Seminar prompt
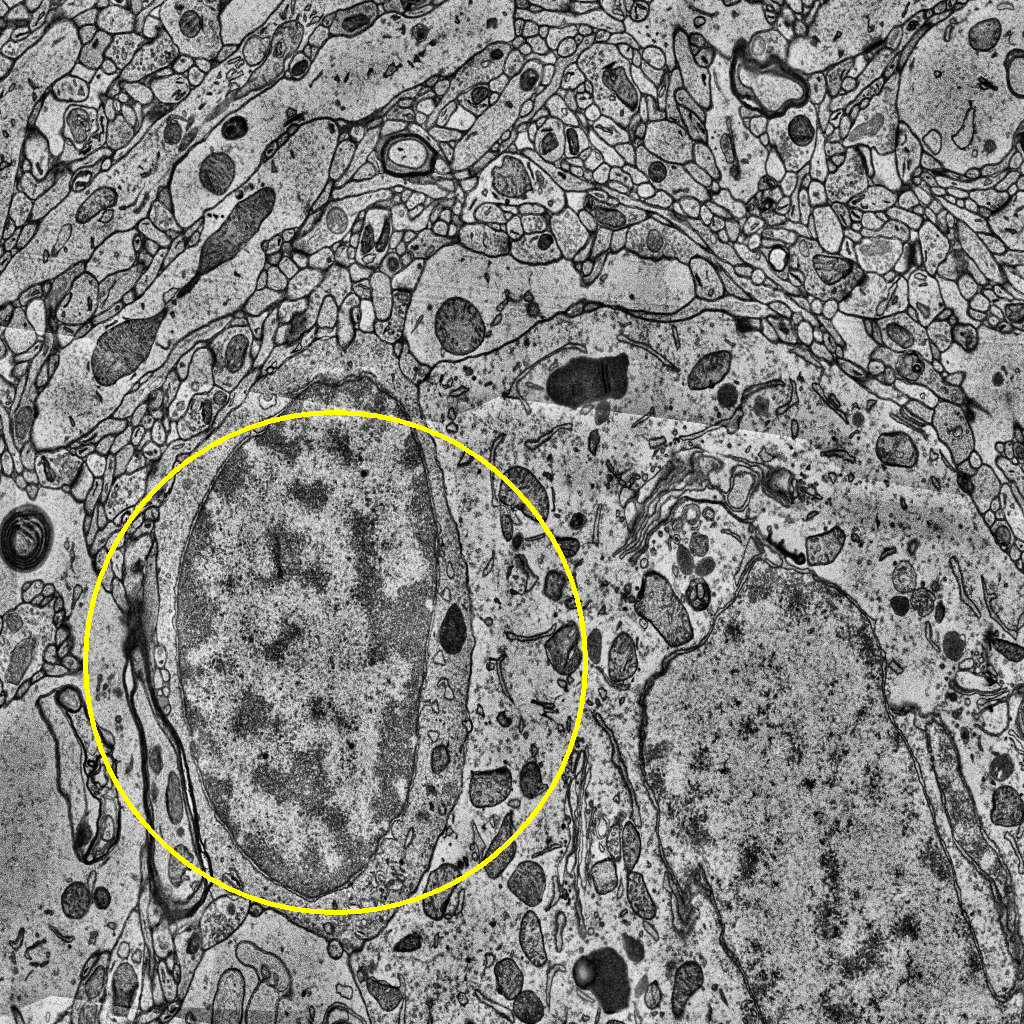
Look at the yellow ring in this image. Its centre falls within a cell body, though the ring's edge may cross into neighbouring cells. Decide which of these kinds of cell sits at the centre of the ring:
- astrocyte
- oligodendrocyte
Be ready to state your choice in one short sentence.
The kind of cell at the ring's centre is an oligodendrocyte.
